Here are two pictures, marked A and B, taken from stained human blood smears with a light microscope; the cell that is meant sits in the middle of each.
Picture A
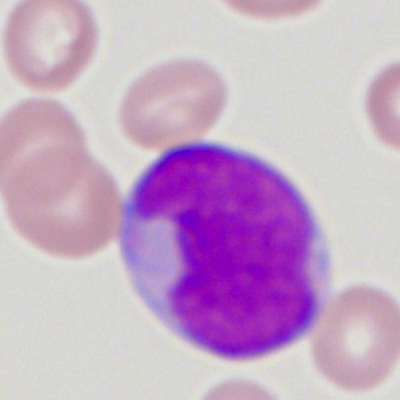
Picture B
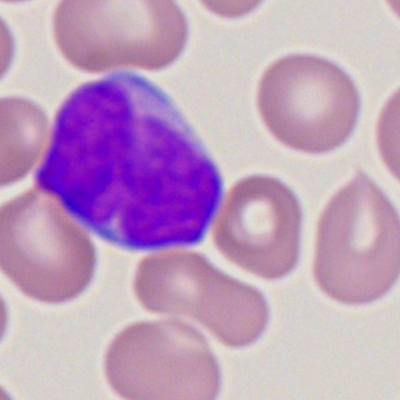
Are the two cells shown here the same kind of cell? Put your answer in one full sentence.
Yes, they are the same type: both are myeloblasts.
